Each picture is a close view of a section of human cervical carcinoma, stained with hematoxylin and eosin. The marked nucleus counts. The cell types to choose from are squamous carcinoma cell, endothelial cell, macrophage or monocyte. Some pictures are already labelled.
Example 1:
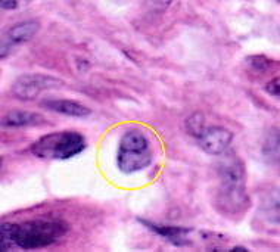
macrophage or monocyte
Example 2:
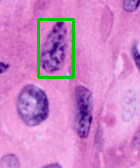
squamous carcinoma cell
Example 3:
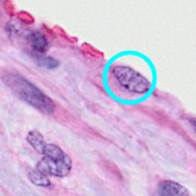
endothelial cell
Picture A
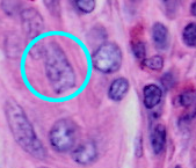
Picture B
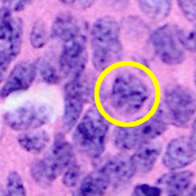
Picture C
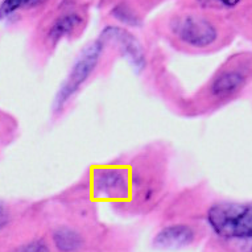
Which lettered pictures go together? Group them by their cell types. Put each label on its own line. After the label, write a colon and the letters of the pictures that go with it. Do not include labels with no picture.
squamous carcinoma cell: B, C
endothelial cell: A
